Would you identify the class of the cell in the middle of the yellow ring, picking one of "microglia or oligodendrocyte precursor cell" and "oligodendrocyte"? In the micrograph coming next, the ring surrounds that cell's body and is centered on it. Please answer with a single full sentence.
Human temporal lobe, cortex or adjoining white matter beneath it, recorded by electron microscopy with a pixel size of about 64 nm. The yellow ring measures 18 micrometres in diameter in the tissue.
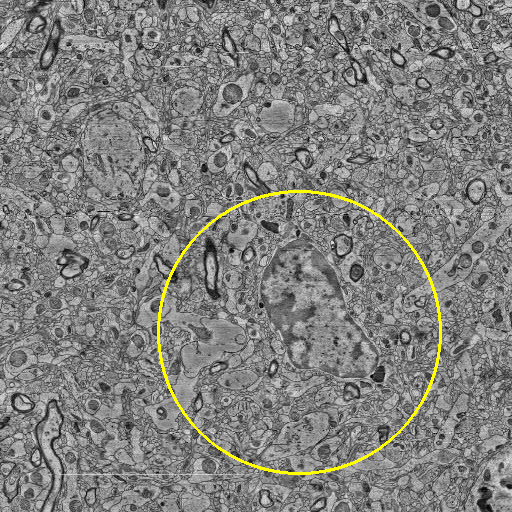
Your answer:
In the micrograph, it is a microglial cell or oligodendrocyte precursor cell whose body lies at the ring's center.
